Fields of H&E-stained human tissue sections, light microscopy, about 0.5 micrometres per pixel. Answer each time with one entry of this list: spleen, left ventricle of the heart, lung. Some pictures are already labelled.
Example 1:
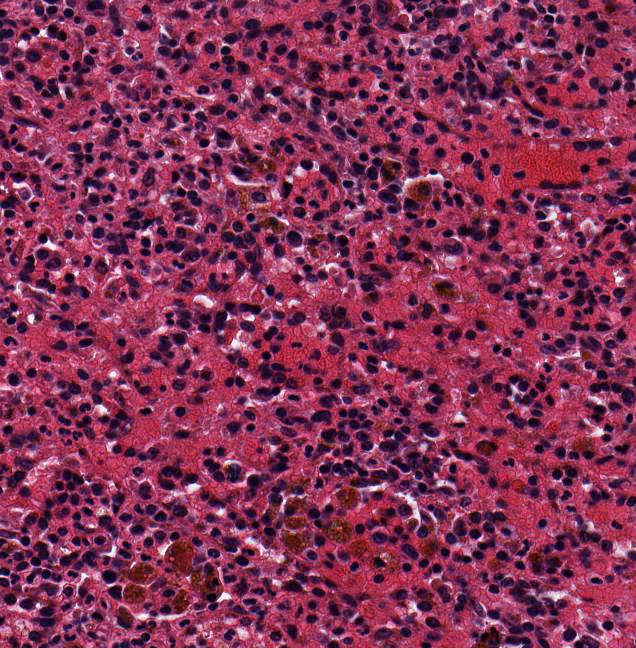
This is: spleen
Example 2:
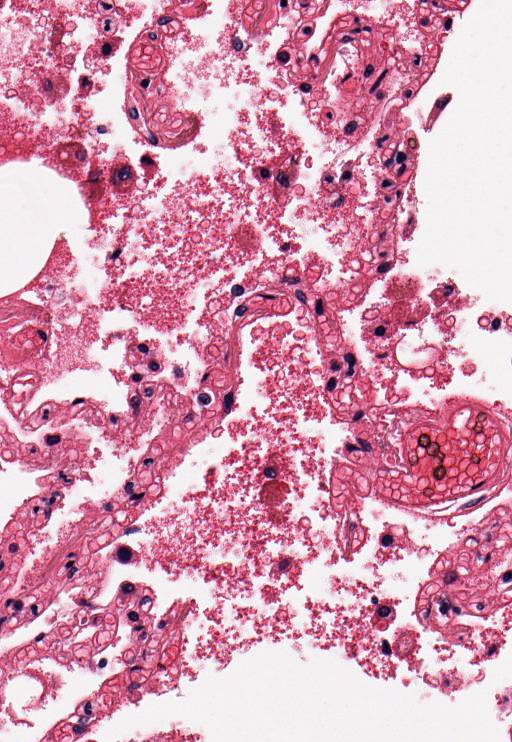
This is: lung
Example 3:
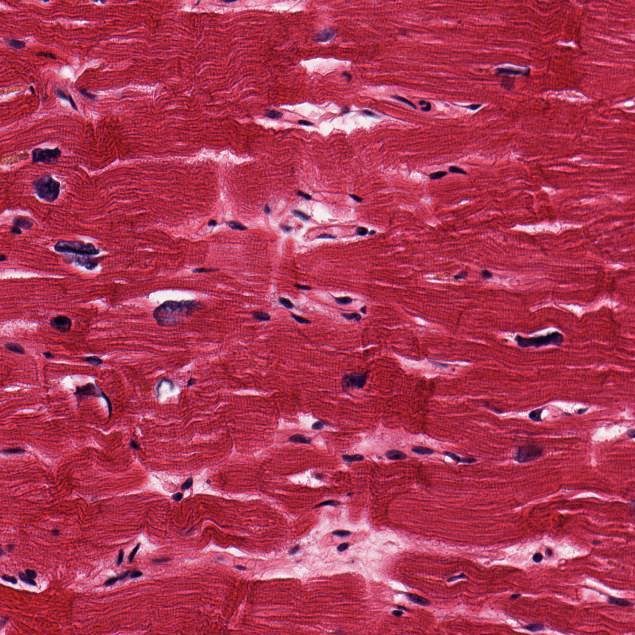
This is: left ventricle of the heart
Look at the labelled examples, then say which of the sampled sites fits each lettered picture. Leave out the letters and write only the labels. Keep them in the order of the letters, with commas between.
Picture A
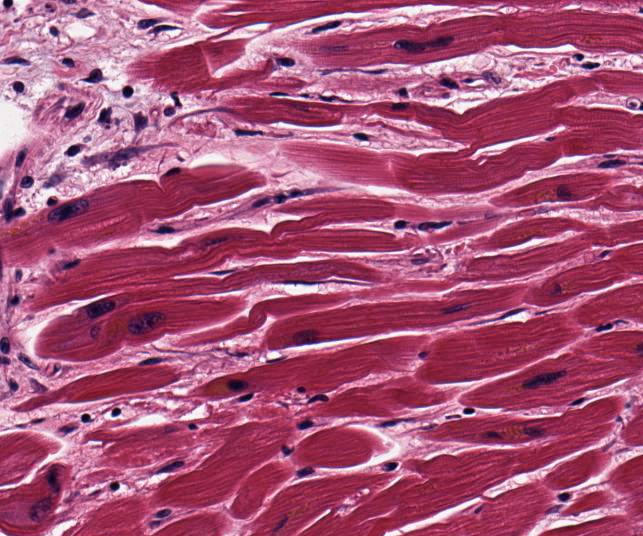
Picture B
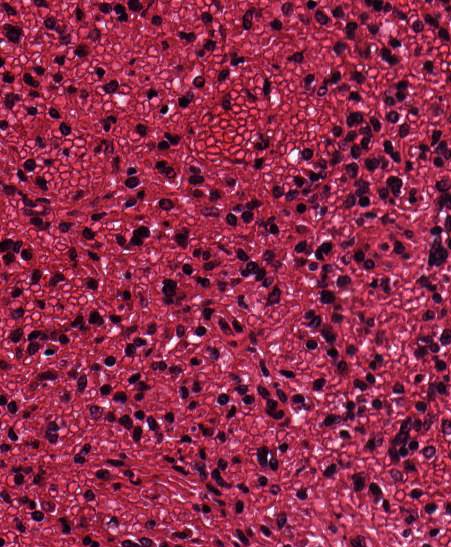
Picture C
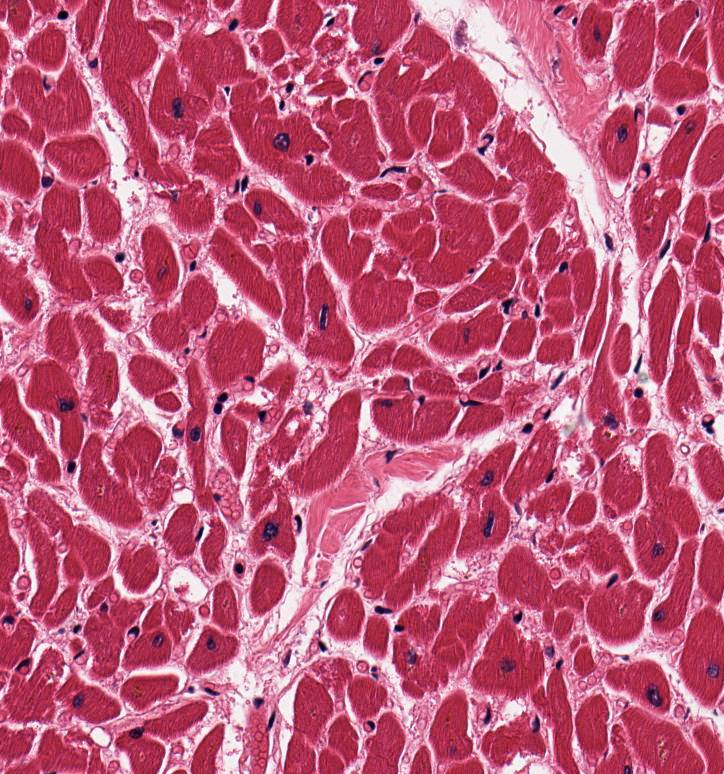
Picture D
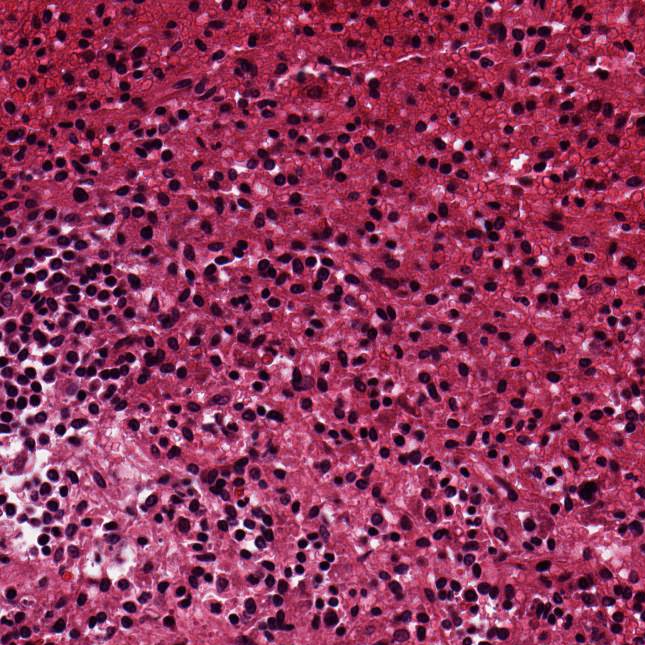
left ventricle of the heart, spleen, left ventricle of the heart, spleen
